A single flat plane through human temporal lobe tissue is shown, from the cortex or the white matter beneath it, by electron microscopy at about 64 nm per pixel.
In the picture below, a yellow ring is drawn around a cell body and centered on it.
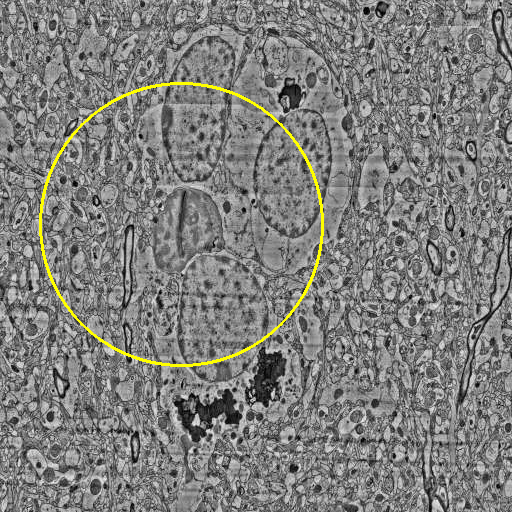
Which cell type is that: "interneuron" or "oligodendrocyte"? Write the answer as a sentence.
The cell centered in the ring is an oligodendrocyte.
